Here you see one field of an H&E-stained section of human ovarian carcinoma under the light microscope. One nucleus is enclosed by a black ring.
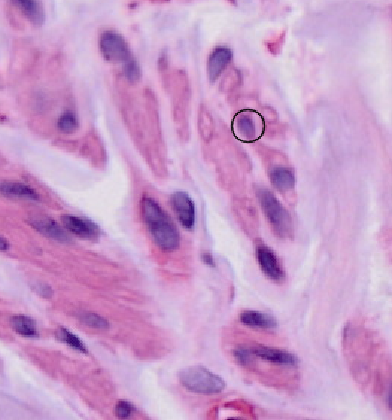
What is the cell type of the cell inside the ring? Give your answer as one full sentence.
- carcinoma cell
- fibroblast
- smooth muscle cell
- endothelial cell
Within the stained tissue, the cell inside the ring is a smooth muscle cell.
